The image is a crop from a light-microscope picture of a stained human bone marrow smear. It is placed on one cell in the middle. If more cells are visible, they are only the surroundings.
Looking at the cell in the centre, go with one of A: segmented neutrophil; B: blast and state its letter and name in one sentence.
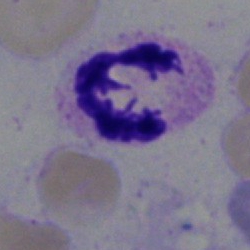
The one to choose is option A, as the cell in the middle is a segmented neutrophil.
